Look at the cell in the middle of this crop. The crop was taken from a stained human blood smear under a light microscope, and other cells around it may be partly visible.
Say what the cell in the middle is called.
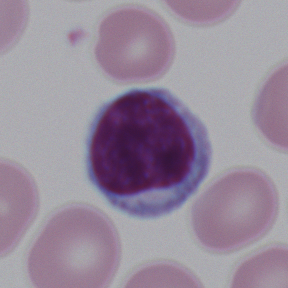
typical lymphocyte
